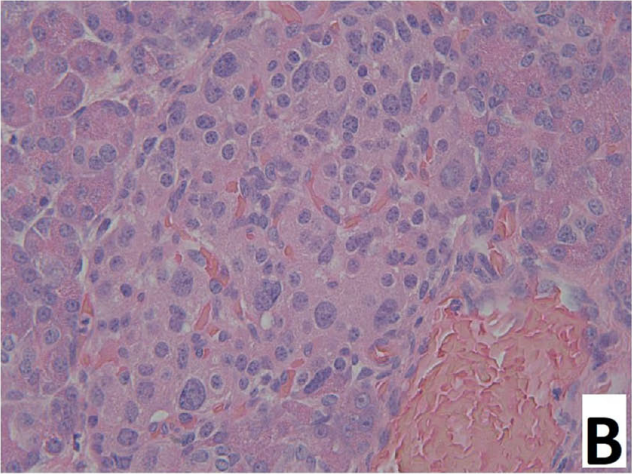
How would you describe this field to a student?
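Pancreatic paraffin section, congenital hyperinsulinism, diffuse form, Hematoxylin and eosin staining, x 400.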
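Islet of Langerhans made of cords of polygonal endocrine cells with pale pink cytoplasm. Nuclei are round to oval, vesicular, with visible nucleoli, and some are much larger than others. Thin capillaries with red blood cells run between the cords, and a patch of pink fibrous stroma lies at one corner.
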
